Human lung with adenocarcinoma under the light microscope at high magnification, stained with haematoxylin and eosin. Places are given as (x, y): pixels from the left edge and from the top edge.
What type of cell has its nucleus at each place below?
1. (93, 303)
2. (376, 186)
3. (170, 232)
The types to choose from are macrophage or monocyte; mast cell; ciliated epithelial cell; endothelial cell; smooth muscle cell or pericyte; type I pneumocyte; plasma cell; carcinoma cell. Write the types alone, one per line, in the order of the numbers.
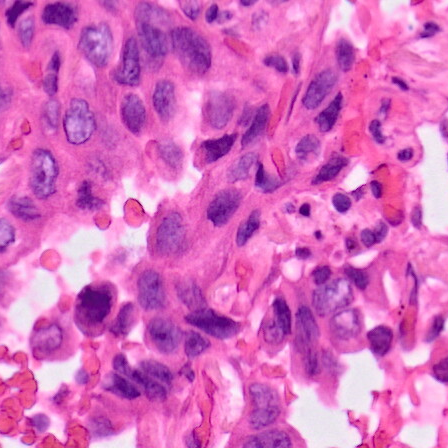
carcinoma cell
endothelial cell
carcinoma cell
